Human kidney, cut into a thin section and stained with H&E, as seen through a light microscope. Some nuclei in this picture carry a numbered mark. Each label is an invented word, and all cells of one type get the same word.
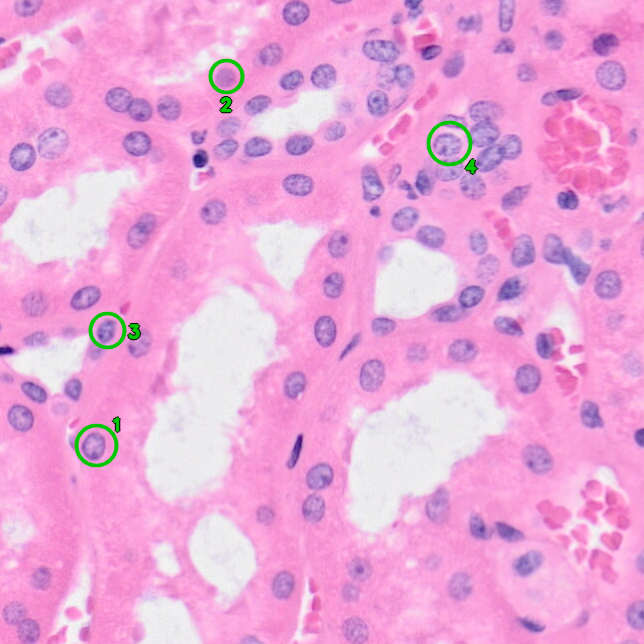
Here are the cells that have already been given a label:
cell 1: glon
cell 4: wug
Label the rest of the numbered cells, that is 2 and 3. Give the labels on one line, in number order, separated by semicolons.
glon; wug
